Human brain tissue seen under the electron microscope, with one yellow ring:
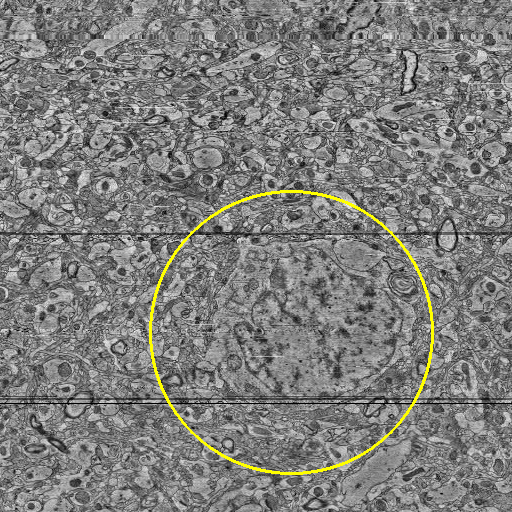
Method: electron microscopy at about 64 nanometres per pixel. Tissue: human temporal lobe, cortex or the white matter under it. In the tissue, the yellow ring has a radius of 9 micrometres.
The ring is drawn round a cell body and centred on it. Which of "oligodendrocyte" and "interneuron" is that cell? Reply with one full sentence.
The picture shows an interneuron at the very centre of the yellow ring.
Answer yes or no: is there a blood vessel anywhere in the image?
No, the image shows no blood vessel.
